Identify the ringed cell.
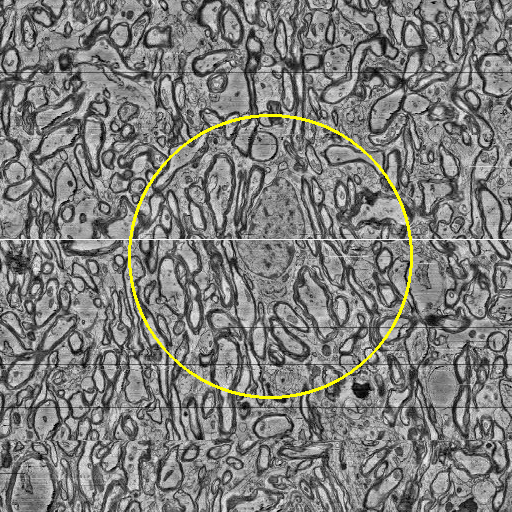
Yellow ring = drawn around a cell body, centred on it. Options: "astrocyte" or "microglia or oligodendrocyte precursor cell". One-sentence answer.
What the ring is centred on is a microglial cell or oligodendrocyte precursor cell.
